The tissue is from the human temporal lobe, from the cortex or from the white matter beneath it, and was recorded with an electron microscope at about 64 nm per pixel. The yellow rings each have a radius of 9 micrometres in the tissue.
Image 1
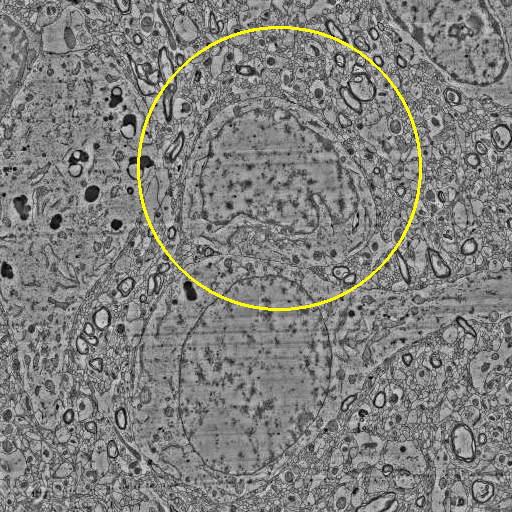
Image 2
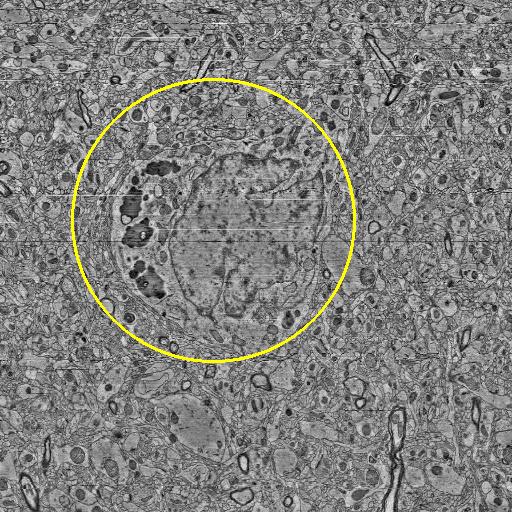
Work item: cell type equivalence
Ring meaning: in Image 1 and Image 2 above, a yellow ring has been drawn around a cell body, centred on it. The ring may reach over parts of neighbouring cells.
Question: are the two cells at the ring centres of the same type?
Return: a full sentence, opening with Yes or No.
Yes, the two centred cells are of the same type.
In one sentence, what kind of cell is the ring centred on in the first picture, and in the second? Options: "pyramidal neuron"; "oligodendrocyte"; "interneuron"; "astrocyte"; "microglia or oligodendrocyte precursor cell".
Each of the ringed cells, first and second, is an interneuron.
